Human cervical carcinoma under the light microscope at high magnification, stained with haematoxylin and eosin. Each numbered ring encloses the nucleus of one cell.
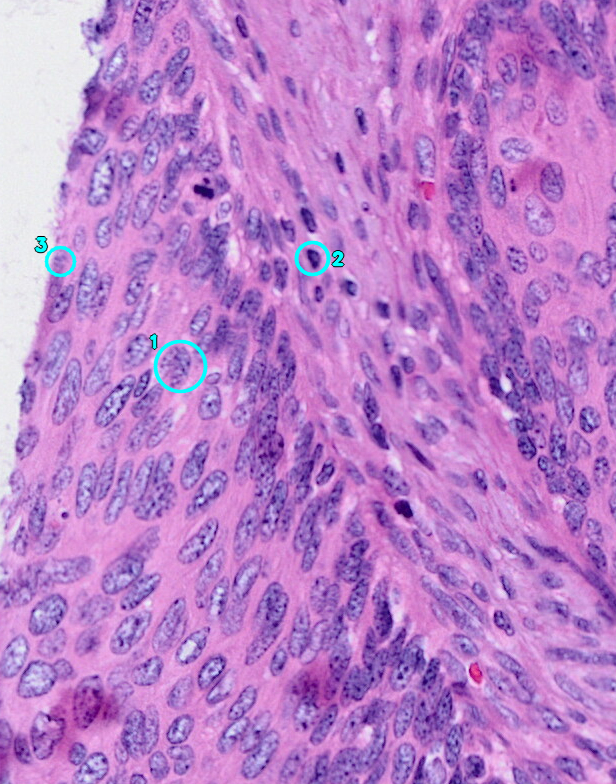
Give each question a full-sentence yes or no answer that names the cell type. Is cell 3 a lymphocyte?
No, the cell carrying number 3 is a squamous carcinoma cell, not a lymphocyte.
